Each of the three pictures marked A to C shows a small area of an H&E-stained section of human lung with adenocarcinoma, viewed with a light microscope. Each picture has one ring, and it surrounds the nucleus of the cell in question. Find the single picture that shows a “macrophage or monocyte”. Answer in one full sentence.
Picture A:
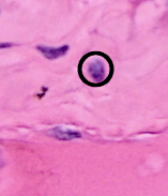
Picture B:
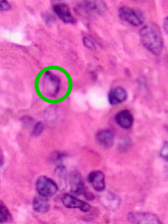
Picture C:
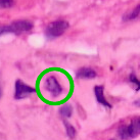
The picture with the “macrophage or monocyte” is B.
